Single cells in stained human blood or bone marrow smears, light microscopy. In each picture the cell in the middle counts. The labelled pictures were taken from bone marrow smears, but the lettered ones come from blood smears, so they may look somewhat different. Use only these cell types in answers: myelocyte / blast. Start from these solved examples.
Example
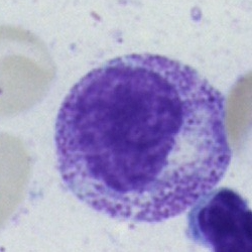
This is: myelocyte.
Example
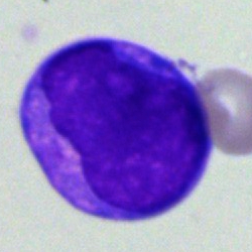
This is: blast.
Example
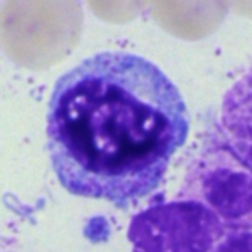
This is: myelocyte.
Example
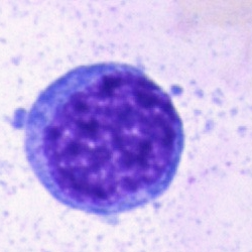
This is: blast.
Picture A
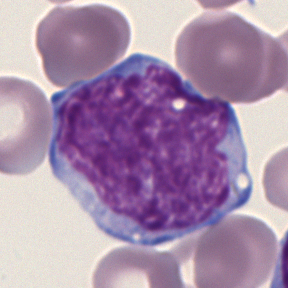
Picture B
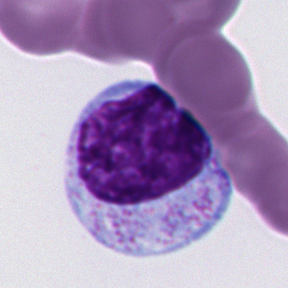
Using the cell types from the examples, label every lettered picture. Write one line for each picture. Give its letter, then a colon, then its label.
A: blast.
B: myelocyte.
